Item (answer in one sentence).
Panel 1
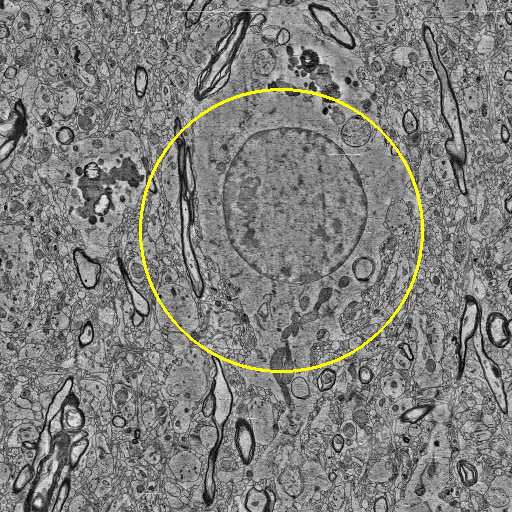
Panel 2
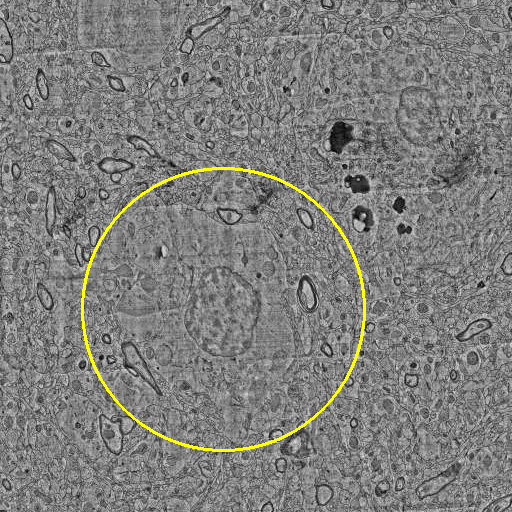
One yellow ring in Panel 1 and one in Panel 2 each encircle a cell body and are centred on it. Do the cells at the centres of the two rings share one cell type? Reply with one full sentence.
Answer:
Yes, Panel 1 and Panel 2 show cells of one type at the centres of their rings.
